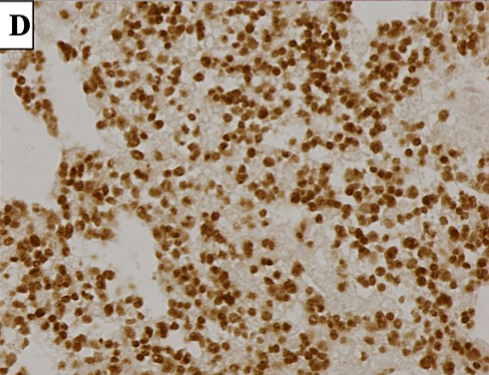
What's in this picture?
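Numerous small round nuclei stained dark brown are scattered densely across the field, each with little surrounding cytoplasm, while pale, lightly stained cells and clear spaces lie between them. Cell borders of the unstained background cells appear faintly.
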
